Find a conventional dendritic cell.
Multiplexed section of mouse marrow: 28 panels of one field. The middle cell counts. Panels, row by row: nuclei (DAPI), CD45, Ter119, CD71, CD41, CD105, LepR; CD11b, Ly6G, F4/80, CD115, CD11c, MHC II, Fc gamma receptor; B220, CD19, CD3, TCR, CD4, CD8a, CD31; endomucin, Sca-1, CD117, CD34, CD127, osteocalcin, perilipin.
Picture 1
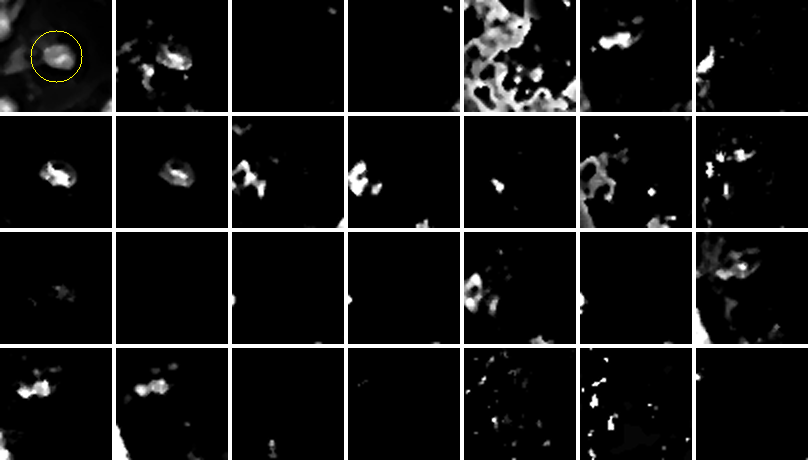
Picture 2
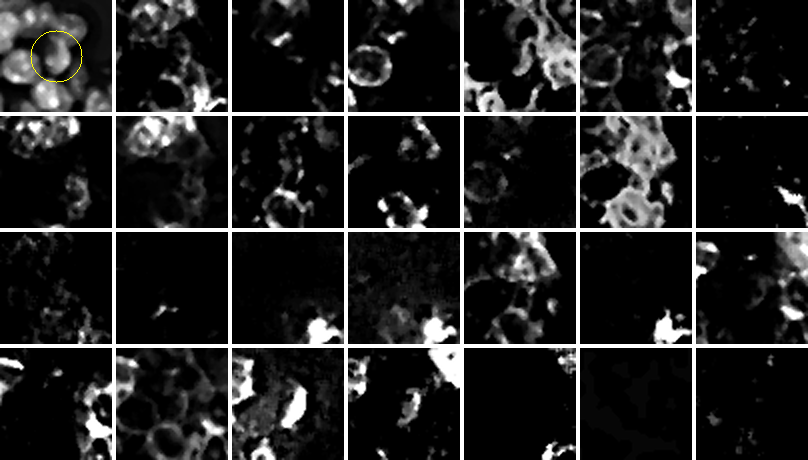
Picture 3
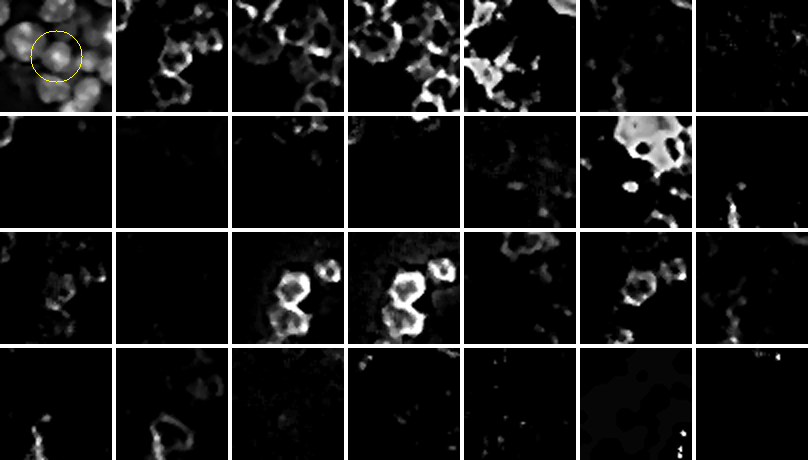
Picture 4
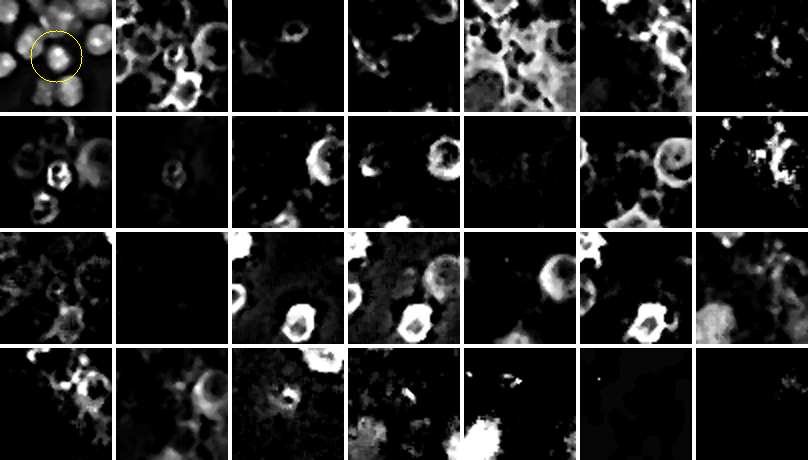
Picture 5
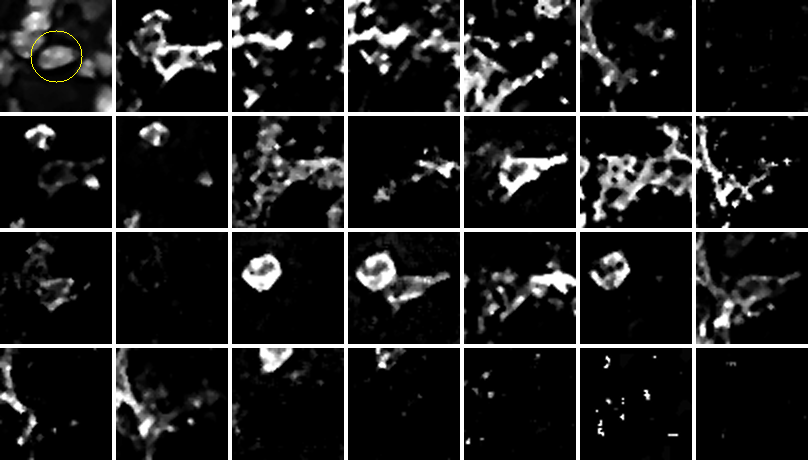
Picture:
5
